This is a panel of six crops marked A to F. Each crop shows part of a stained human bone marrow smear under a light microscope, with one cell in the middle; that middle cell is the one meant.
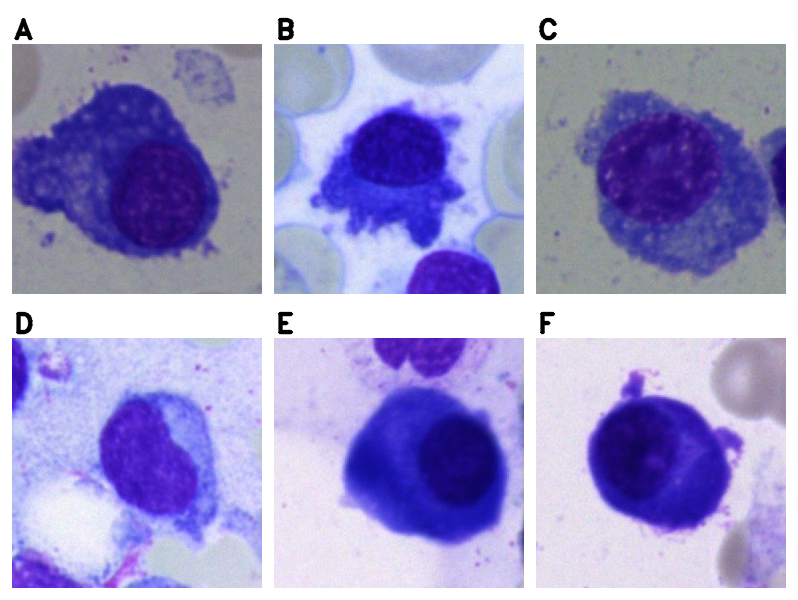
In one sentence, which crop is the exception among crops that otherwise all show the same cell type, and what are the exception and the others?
The exception is crop D, with a hairy cell; the remaining crops all show plasma cells.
